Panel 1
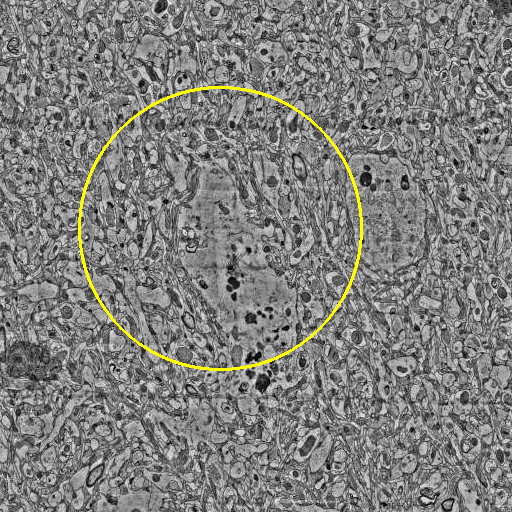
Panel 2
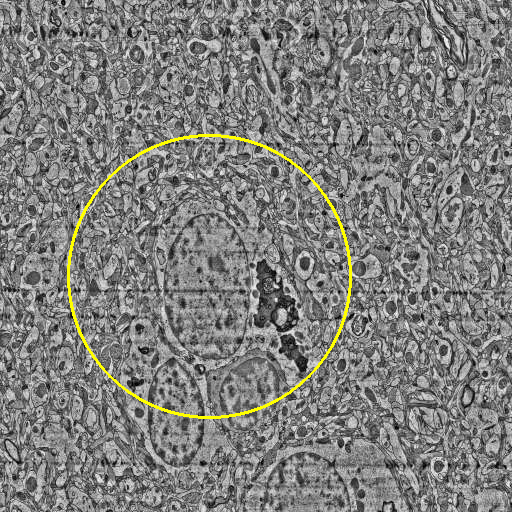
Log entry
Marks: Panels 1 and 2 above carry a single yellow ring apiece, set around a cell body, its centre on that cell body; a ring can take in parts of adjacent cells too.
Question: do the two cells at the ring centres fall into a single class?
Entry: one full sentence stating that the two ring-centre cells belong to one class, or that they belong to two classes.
The two ring-centre cells in Panels 1 and 2 belong to one class.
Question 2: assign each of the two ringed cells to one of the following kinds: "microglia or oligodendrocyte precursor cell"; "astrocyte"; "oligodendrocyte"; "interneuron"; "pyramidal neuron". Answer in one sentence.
The second cell is an astrocyte, just as the first is.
